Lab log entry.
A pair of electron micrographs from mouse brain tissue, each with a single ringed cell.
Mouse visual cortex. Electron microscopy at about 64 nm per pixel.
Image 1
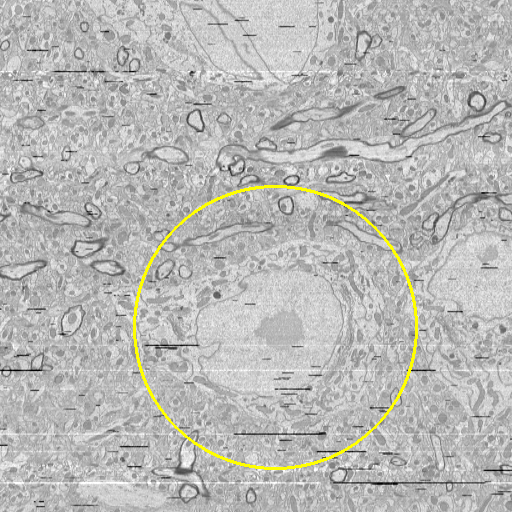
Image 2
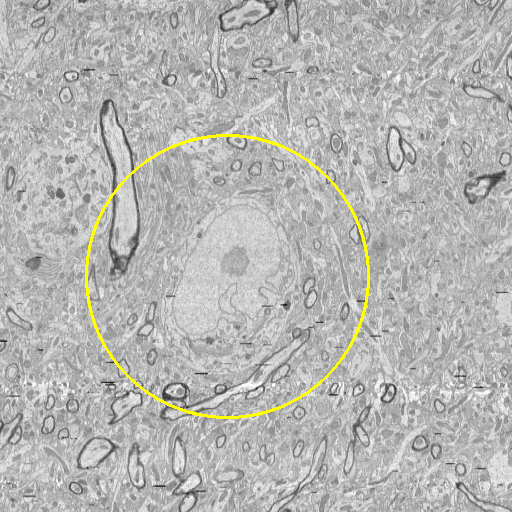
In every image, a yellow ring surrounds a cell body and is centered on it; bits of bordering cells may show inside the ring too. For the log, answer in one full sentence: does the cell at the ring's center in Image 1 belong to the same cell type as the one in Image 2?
Yes, the cells at the ring centers in Image 1 and Image 2 share one type.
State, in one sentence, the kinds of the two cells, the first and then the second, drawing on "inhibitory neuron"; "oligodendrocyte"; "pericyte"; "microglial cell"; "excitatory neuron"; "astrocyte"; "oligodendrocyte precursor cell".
Each of the two cells is an inhibitory neuron.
